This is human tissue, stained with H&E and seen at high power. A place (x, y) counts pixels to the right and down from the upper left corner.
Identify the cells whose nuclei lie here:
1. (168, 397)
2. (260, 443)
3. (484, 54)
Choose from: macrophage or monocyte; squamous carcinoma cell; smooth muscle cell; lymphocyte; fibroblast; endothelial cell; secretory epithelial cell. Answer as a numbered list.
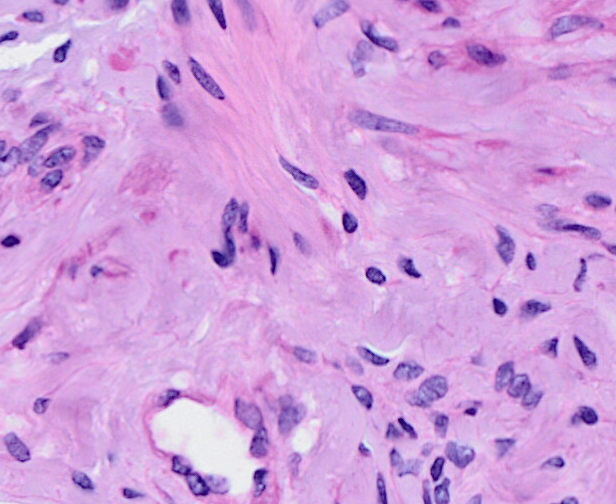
1. endothelial cell
2. endothelial cell
3. smooth muscle cell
